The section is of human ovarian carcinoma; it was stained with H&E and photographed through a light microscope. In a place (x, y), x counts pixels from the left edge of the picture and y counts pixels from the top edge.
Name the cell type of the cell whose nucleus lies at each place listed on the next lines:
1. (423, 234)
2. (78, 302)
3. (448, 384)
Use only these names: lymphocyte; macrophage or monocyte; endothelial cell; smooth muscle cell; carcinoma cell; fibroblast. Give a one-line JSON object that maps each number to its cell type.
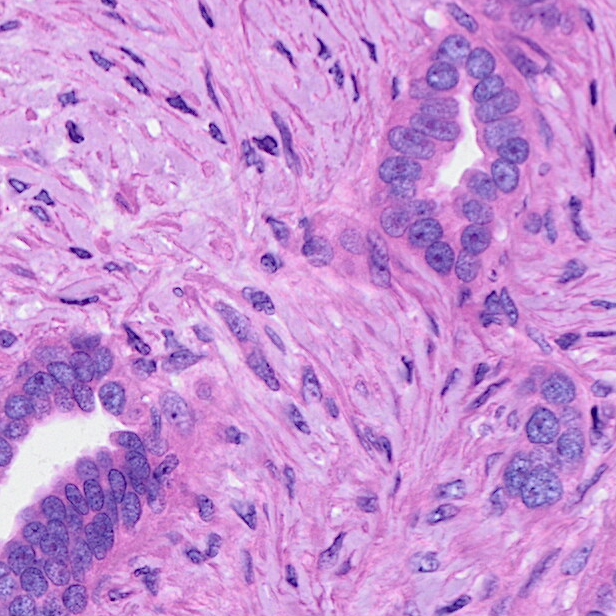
{"1": "carcinoma cell", "2": "fibroblast", "3": "fibroblast"}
